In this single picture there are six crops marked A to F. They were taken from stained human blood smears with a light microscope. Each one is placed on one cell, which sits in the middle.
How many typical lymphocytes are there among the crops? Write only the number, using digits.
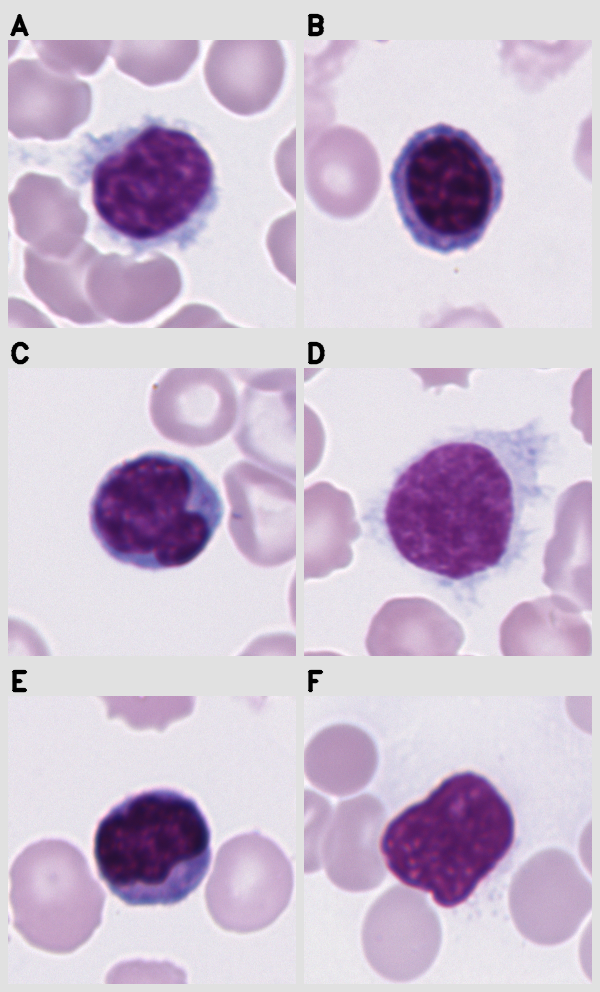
3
